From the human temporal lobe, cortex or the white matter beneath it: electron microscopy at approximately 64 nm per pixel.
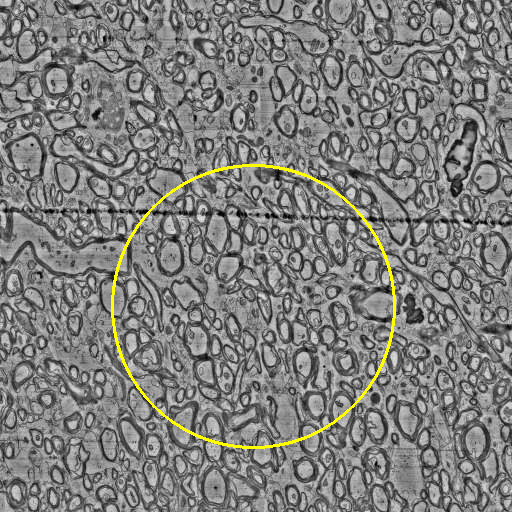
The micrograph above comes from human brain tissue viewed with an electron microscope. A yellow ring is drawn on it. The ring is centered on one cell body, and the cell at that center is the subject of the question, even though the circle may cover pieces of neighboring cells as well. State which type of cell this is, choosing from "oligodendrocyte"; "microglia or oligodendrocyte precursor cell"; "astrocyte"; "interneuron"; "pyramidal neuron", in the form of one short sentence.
The cell the ring is centered on is a microglial cell or oligodendrocyte precursor cell.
